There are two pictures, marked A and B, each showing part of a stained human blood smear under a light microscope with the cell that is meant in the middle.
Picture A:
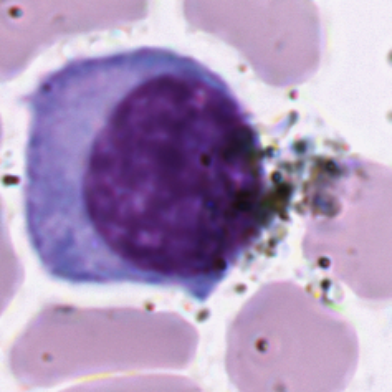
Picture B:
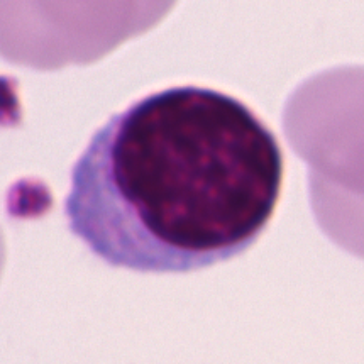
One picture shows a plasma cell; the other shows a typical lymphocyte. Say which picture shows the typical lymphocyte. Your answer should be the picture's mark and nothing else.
B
